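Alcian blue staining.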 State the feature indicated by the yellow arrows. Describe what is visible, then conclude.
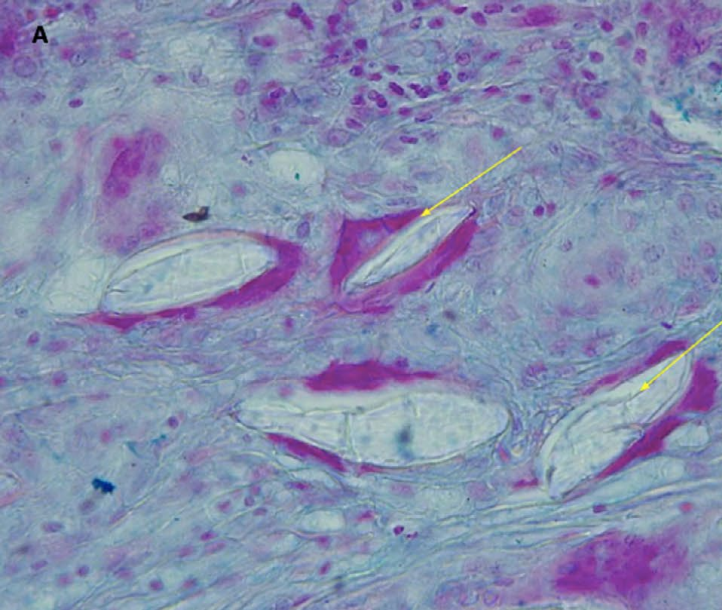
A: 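The arrows point to elongated, spindle-shaped clear bodies. The clear bodies are rimmed by bands of magenta-staining cytoplasm. Several such elongated bodies lie scattered in the tissue. On this evidence: refringent crystals.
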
